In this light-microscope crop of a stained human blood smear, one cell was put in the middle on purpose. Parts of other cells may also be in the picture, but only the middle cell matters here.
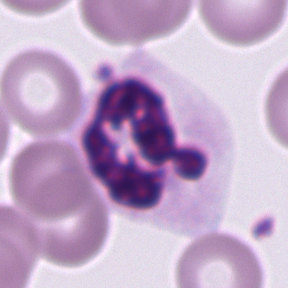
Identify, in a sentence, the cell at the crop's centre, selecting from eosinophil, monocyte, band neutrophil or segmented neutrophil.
This particular crop is centered on a segmented neutrophil.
